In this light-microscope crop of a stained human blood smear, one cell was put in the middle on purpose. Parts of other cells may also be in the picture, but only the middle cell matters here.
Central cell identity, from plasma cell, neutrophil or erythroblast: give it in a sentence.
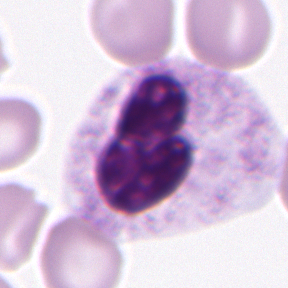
Here the cell in the middle is a neutrophil.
